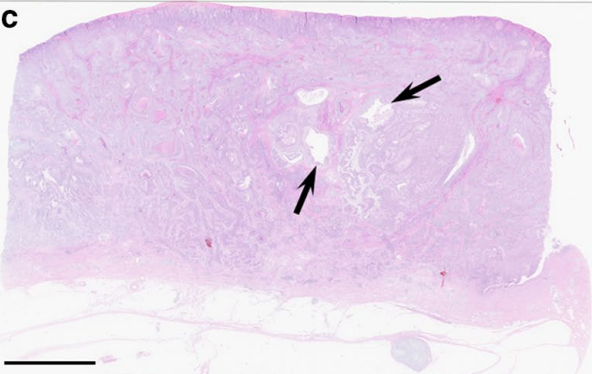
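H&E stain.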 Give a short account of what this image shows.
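Low-power section of skin with a large, well-defined mass filling the dermis beneath a thin surface epithelium. The mass is densely packed and stained pink to purple, with a lobulated, interlacing texture. Several clear, empty spaces of varying size lie near its centre. Its lower border is fairly sharp against a paler band of pink stroma. Loose, pale, vacuolated tissue resembling fat lies below.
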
